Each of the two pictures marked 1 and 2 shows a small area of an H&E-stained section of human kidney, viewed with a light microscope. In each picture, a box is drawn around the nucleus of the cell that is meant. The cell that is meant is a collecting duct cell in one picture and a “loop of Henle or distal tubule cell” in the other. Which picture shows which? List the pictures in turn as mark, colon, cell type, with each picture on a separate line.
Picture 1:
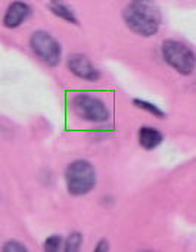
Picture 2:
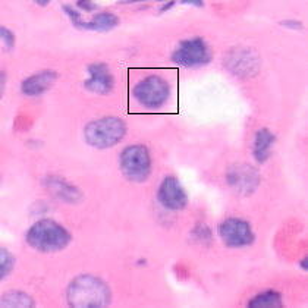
1: collecting duct cell
2: loop of Henle or distal tubule cell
